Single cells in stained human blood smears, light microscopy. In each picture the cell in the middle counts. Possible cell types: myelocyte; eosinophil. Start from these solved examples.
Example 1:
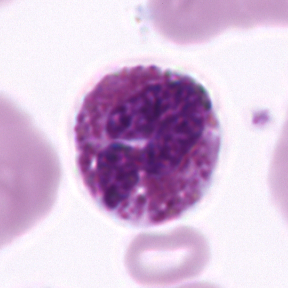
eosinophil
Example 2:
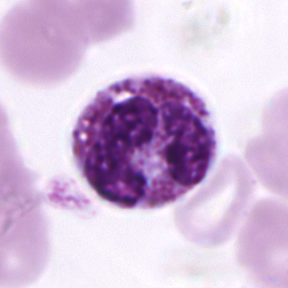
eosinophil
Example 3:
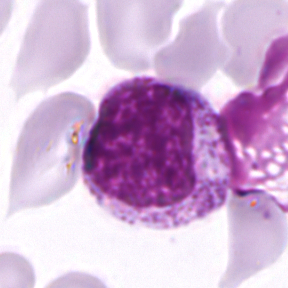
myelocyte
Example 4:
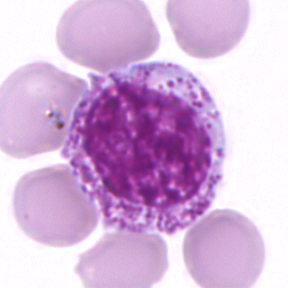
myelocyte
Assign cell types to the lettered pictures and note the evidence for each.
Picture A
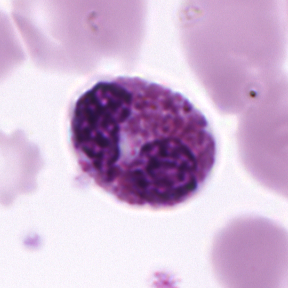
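eosinophil. Evidence: The nucleus is split into two separate lobes, one on the left and one on the lower right.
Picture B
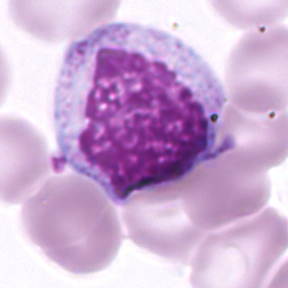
myelocyte. Evidence: The cytoplasm has a fine, dusty speckling rather than coarse granules.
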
